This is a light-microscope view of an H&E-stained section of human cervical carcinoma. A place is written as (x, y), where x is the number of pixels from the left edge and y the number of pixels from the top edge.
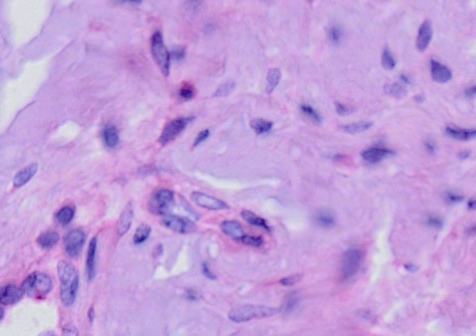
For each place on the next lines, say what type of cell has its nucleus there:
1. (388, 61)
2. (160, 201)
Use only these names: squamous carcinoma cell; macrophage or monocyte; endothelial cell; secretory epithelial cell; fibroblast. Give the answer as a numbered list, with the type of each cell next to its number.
1. fibroblast
2. endothelial cell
